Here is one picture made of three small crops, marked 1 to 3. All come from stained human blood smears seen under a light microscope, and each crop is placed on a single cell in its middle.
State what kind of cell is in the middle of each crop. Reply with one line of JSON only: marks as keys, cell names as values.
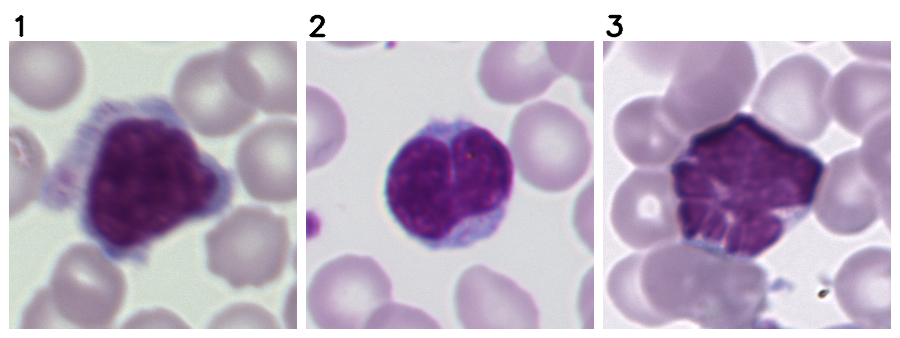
{"1": "typical lymphocyte", "2": "typical lymphocyte", "3": "large granular lymphocyte"}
